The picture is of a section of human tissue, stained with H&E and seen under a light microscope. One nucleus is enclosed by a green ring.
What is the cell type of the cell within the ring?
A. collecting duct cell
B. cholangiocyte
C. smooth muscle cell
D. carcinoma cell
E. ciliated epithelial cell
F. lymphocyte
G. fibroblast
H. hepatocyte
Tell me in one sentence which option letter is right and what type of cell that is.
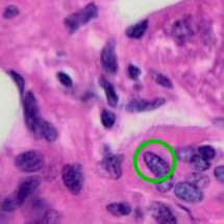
The right option is B, the cell within the ring being a cholangiocyte.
